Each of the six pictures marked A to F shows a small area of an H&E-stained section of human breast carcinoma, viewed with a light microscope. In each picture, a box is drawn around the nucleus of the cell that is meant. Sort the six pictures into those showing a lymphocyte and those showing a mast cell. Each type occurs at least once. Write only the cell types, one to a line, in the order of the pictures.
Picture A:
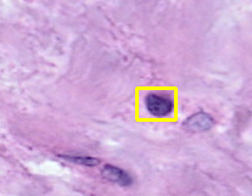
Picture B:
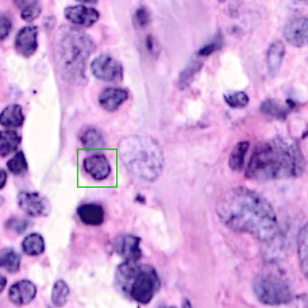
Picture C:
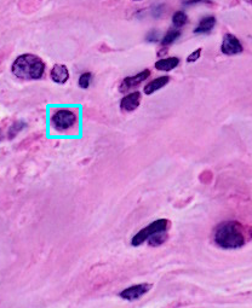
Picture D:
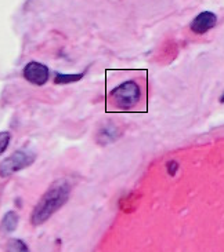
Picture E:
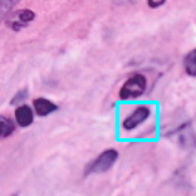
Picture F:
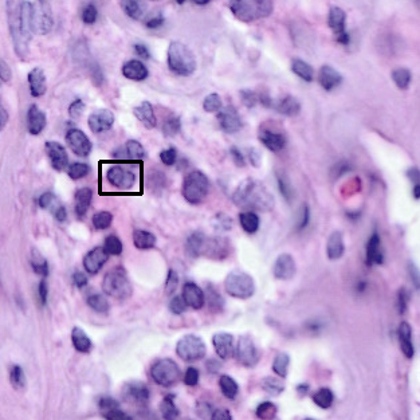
mast cell
lymphocyte
mast cell
mast cell
lymphocyte
lymphocyte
